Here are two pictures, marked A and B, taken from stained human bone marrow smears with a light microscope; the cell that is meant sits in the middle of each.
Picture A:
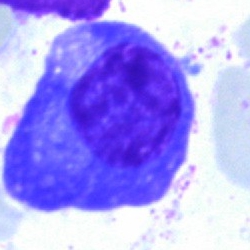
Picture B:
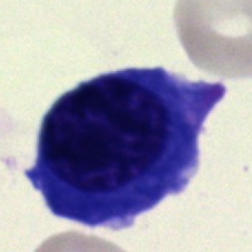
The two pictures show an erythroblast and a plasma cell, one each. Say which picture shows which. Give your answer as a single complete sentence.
Picture A shows a plasma cell and picture B shows an erythroblast.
